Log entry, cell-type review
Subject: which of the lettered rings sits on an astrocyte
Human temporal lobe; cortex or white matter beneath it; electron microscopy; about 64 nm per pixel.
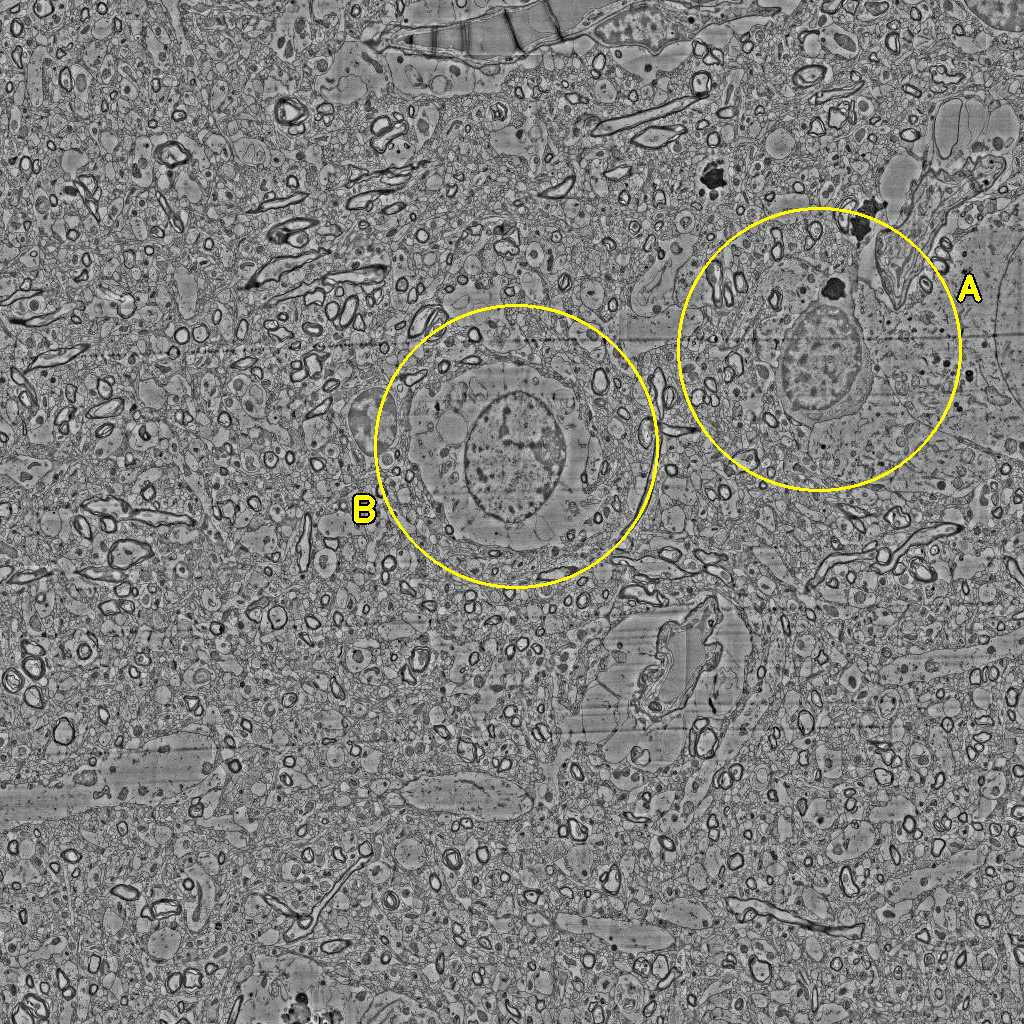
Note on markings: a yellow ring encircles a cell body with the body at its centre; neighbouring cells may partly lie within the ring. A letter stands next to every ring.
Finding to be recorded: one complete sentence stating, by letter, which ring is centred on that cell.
The cell sits at the centre of ring B.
